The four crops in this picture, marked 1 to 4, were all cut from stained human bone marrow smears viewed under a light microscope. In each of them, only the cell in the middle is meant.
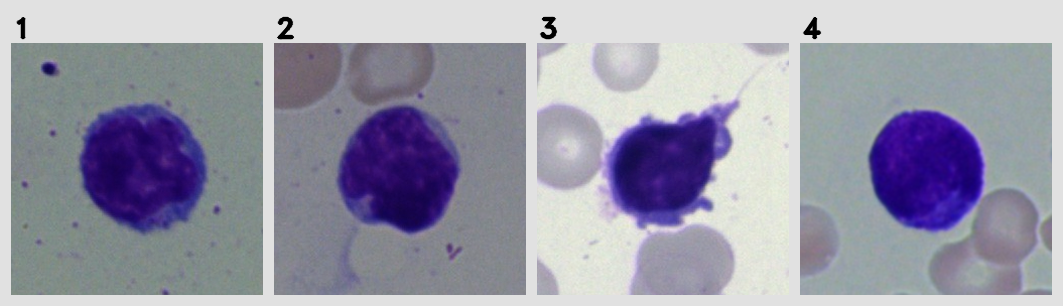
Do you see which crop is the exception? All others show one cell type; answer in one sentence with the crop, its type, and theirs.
The rest of the crops show lymphocytes; crop 4 is the one showing a blast.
